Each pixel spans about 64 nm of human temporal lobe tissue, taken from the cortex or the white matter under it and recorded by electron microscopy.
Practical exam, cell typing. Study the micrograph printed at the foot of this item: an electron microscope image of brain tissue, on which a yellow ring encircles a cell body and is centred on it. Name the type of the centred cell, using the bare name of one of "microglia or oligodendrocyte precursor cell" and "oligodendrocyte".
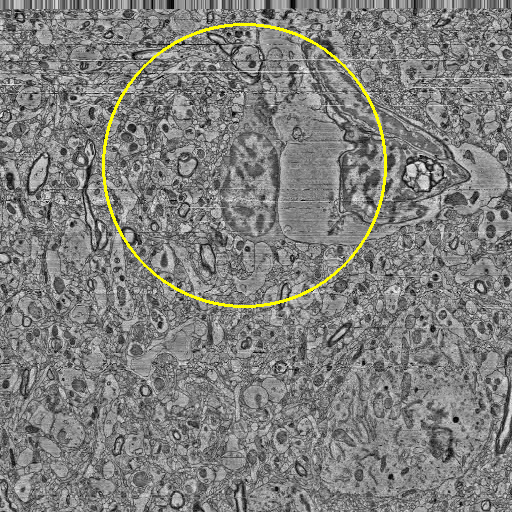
oligodendrocyte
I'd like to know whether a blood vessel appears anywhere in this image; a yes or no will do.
Yes, the image shows a blood vessel.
